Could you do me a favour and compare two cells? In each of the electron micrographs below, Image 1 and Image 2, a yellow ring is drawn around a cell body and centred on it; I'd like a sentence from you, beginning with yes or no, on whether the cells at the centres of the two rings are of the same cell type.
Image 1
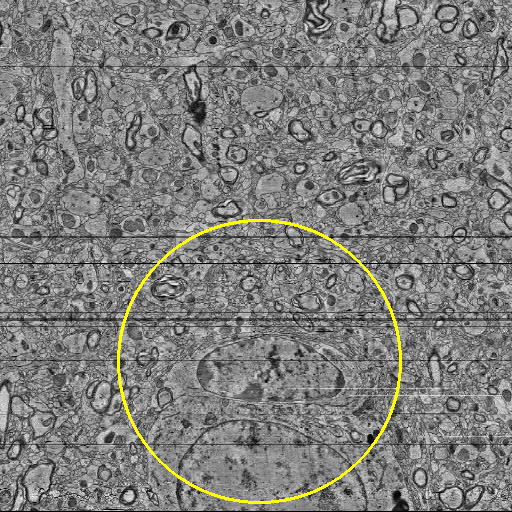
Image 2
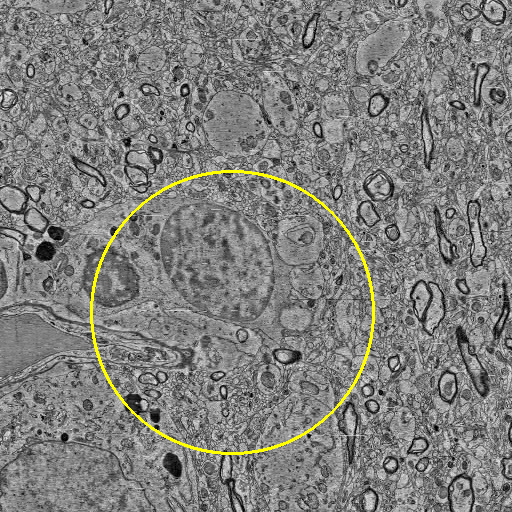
No, the two cells are of two cell types.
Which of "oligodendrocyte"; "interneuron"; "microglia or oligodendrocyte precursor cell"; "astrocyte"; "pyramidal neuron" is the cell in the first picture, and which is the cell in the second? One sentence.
The two differ: the first cell is a microglial cell or oligodendrocyte precursor cell and the second is an oligodendrocyte.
